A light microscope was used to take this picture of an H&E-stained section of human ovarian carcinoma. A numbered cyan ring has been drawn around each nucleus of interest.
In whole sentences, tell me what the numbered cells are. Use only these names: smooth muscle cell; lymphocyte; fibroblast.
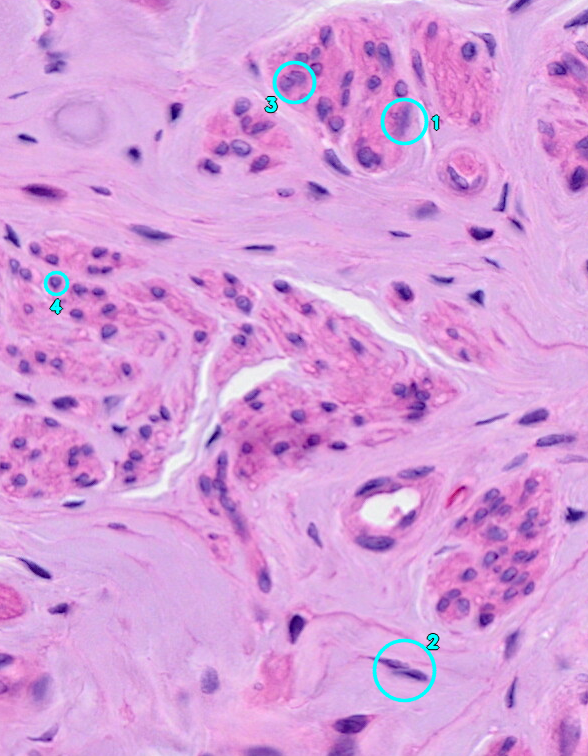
Cell 1 is a smooth muscle cell, cell 2 is a fibroblast, cell 3 is a smooth muscle cell and cell 4 is a smooth muscle cell.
